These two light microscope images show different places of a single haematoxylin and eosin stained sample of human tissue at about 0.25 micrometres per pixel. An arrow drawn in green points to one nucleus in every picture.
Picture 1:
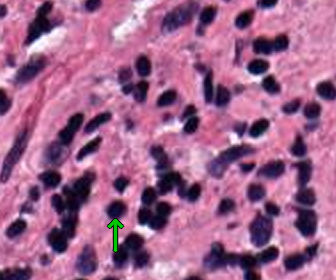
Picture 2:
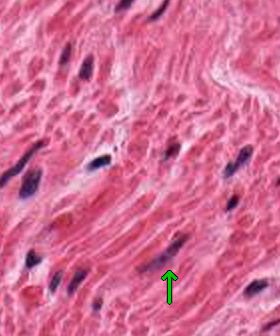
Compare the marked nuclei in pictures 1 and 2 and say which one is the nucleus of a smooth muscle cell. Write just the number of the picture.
2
